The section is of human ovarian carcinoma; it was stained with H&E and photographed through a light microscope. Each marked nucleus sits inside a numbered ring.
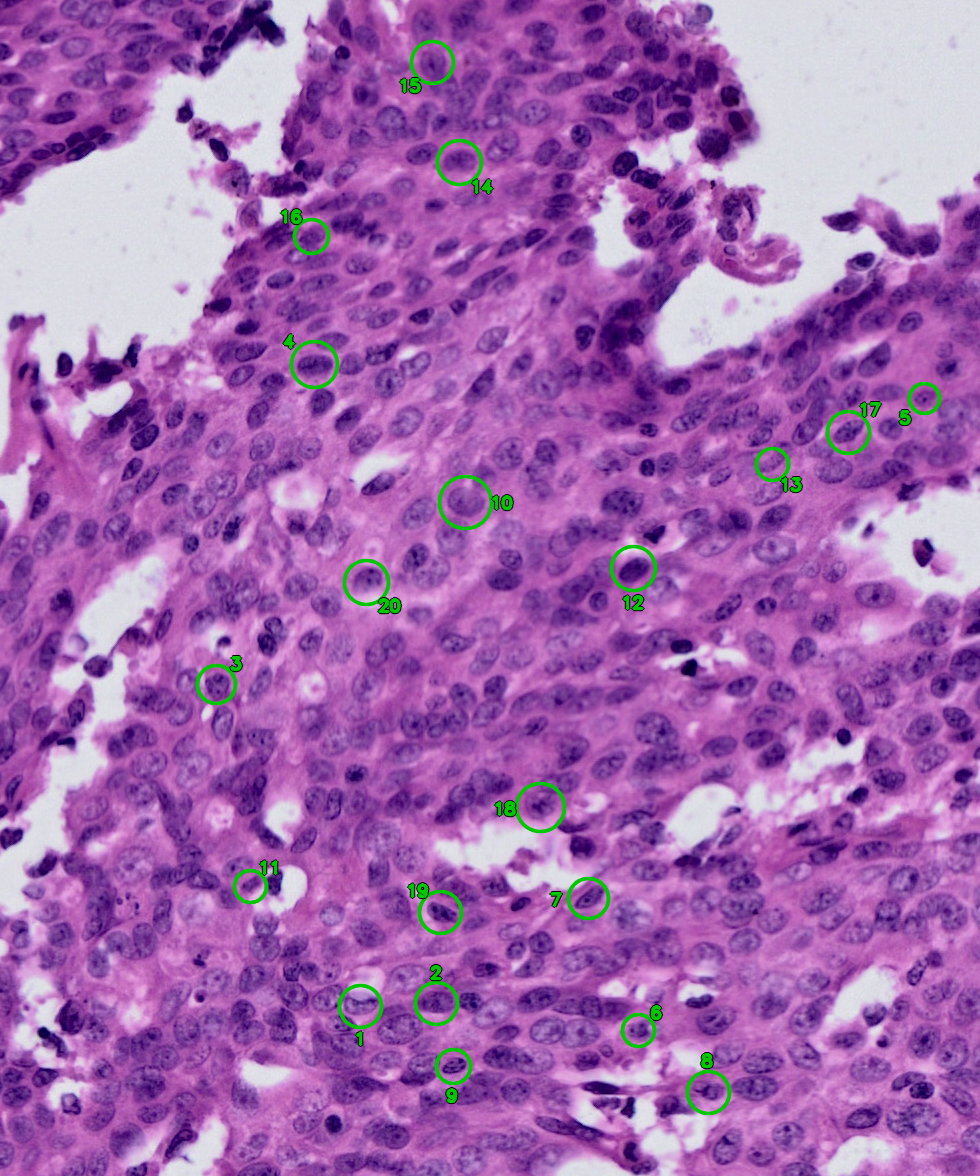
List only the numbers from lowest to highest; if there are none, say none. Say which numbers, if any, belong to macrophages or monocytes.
1, 3, 6, 7, 8, 9, 11, 17, 19, 20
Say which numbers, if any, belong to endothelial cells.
5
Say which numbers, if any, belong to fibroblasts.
none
